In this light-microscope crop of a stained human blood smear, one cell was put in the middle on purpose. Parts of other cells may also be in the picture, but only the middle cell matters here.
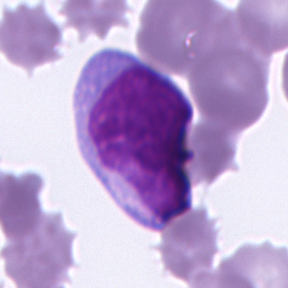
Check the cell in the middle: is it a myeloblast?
yes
